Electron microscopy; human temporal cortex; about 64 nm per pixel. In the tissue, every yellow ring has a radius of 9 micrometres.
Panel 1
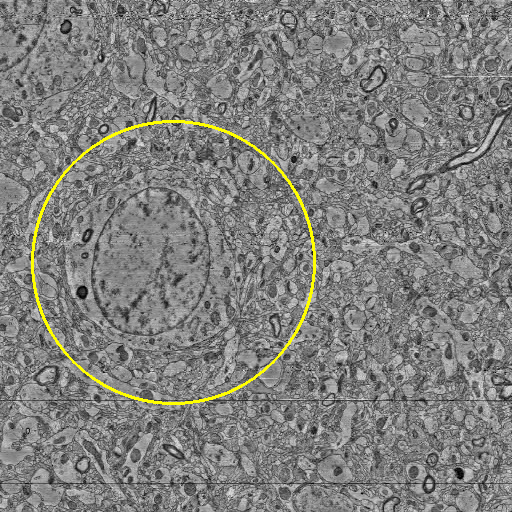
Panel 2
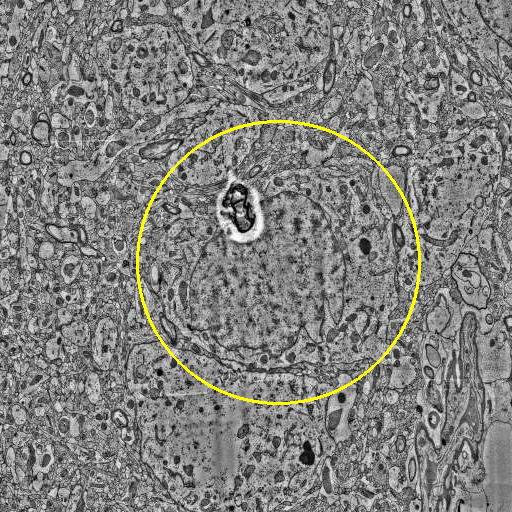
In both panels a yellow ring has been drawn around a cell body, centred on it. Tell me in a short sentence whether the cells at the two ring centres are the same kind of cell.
No, they are two kinds of cell.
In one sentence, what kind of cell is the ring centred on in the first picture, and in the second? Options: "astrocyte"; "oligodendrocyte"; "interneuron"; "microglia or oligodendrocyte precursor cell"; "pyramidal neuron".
The cell at the centre of the second ring is an interneuron; the first ring's cell is a pyramidal neuron.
